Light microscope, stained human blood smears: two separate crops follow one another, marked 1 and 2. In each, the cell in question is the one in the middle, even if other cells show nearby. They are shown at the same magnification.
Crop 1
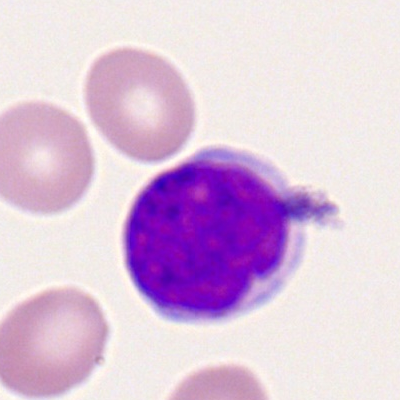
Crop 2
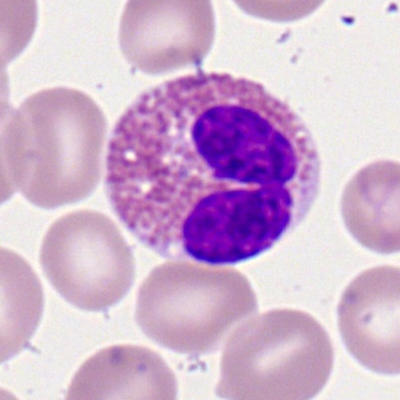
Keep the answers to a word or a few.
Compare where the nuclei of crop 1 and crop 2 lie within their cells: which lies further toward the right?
2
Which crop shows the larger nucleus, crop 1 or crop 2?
1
